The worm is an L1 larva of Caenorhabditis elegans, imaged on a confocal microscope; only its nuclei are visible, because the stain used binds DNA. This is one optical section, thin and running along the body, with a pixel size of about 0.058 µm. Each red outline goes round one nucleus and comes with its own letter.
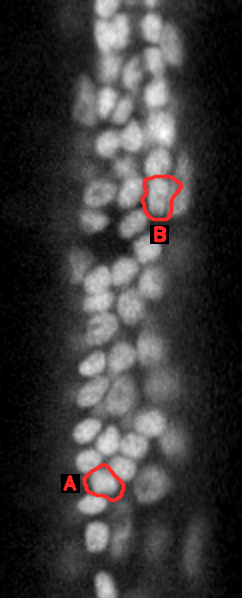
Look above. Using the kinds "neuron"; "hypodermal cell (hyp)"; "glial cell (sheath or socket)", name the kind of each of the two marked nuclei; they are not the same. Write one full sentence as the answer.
A is the nucleus of a neuron; B is the nucleus of a glial cell (sheath or socket).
